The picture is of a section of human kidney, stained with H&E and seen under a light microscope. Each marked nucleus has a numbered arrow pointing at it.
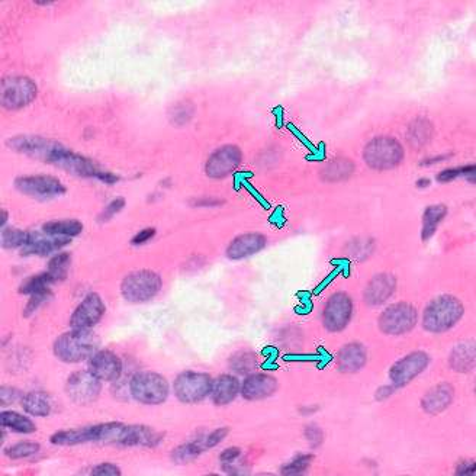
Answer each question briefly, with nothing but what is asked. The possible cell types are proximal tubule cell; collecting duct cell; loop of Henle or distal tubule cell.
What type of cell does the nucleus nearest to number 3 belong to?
loop of Henle or distal tubule cell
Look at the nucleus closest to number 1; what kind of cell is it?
proximal tubule cell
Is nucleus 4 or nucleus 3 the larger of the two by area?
4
